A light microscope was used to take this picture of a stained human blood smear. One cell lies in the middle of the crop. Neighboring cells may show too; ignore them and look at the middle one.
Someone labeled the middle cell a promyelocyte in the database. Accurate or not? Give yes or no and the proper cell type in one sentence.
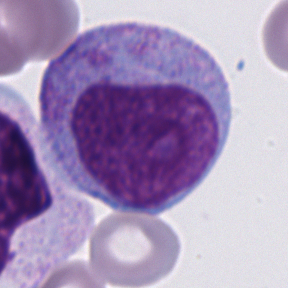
Yes, in the middle of the crop is a promyelocyte.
